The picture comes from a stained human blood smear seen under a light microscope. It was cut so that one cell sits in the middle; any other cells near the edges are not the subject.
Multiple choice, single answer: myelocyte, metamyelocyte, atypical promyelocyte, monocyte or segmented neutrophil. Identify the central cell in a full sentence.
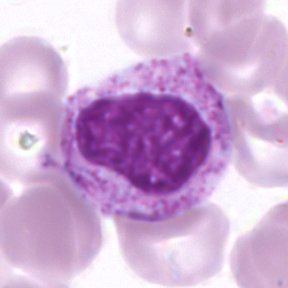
This particular crop is centered on a metamyelocyte.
